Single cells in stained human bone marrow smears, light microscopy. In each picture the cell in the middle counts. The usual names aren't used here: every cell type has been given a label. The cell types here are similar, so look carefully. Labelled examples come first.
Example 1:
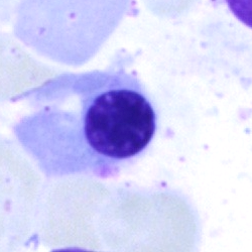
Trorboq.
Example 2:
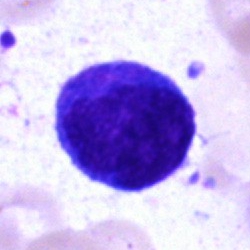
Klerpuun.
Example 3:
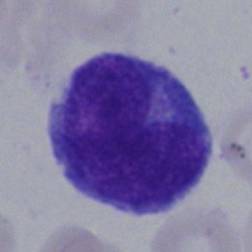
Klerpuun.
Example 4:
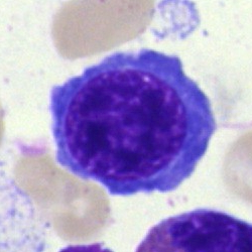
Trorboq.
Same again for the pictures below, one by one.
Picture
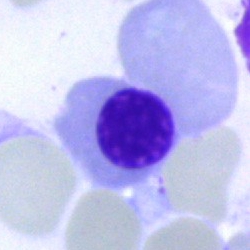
Trorboq.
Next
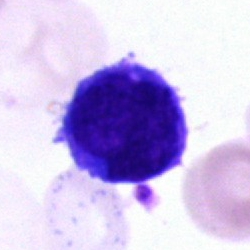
Klerpuun.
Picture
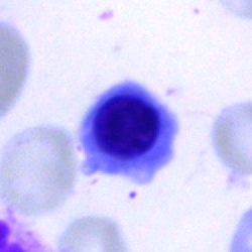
Trorboq.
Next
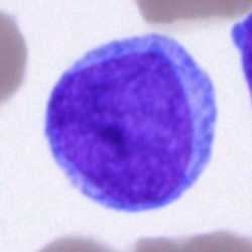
Klerpuun.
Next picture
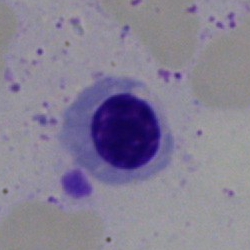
Trorboq.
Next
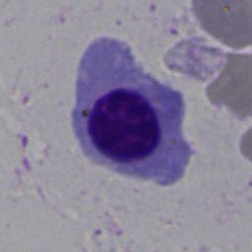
Trorboq.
